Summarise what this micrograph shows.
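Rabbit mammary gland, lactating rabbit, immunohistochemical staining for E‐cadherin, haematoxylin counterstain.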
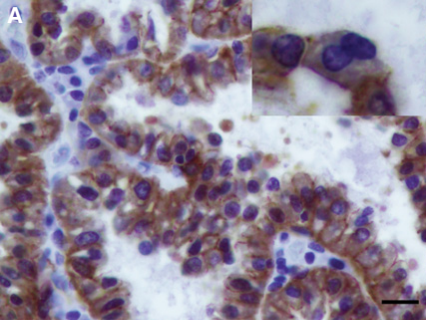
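The alveolar lumens are pale and hold faint secretion. Between the alveoli runs a thin stroma with small, dark, elongated nuclei. The enlarged inset shows one lining cell that appears to contain two nuclei side by side.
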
